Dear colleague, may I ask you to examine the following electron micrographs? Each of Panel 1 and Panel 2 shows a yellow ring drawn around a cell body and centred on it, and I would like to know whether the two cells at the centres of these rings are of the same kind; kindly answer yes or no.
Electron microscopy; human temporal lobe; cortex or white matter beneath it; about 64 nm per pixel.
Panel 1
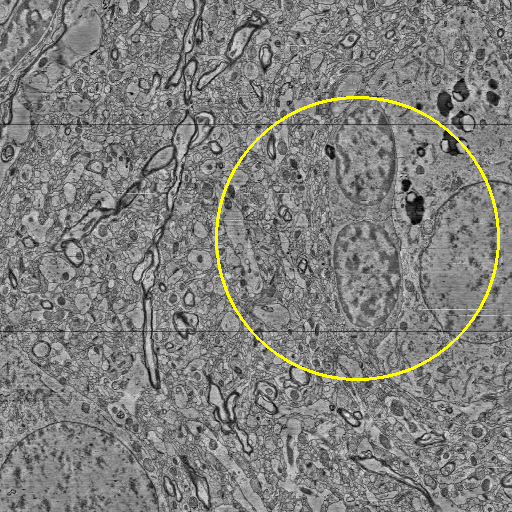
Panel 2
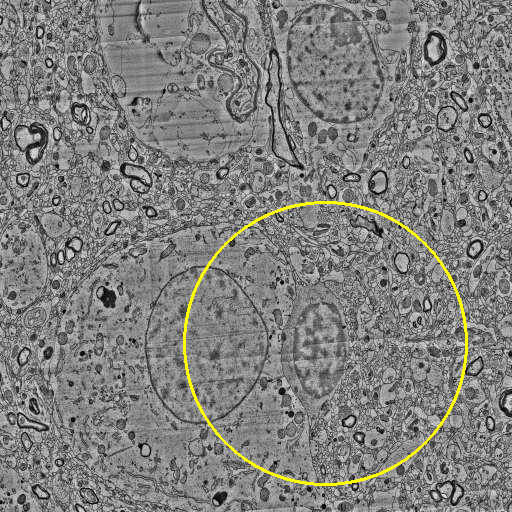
yes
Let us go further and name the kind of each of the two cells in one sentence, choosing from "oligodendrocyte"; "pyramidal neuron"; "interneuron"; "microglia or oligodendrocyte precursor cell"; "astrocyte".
Each of the two rings is centred on an oligodendrocyte.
